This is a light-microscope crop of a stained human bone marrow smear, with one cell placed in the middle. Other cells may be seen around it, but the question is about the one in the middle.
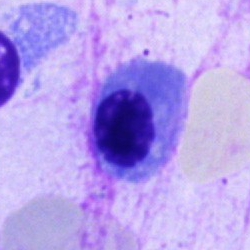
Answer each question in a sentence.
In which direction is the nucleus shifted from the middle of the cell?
Seen from the middle of the cell, the nucleus lies toward the lower left.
